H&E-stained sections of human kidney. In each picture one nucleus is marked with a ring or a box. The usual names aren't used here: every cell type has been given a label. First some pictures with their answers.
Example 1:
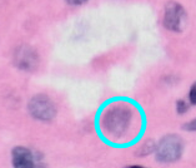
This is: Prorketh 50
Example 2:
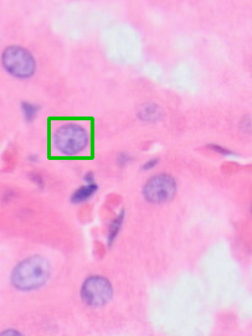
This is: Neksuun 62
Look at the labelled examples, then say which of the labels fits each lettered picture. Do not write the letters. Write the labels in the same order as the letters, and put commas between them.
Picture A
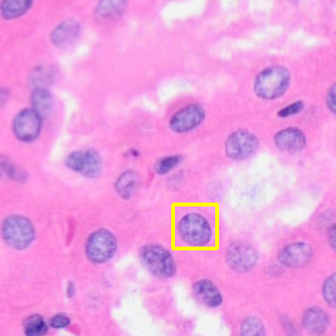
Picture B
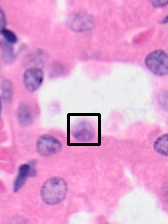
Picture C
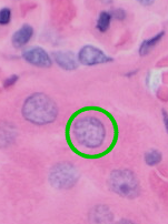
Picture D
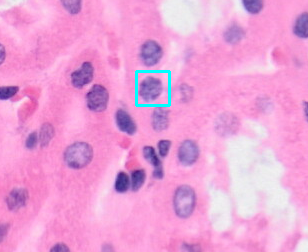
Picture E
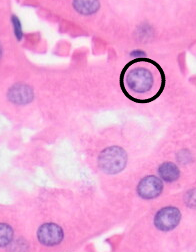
Prorketh 50, Prorketh 50, Neksuun 62, Prorketh 50, Neksuun 62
